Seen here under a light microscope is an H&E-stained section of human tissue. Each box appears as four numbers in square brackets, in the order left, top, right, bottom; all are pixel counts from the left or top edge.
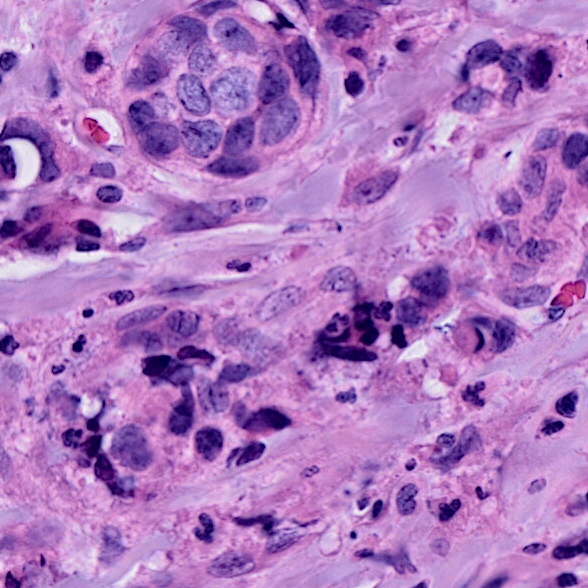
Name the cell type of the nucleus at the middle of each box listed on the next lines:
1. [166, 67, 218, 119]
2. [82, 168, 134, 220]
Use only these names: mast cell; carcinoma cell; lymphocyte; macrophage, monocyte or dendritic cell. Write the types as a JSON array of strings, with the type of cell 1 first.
["carcinoma cell", "mast cell"]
